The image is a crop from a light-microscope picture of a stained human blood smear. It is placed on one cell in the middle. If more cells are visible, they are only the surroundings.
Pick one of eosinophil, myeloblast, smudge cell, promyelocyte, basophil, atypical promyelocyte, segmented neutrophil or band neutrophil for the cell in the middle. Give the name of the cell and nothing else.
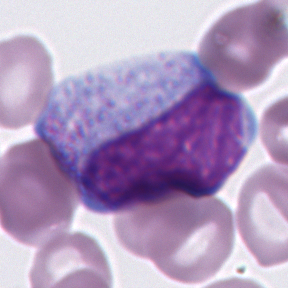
promyelocyte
